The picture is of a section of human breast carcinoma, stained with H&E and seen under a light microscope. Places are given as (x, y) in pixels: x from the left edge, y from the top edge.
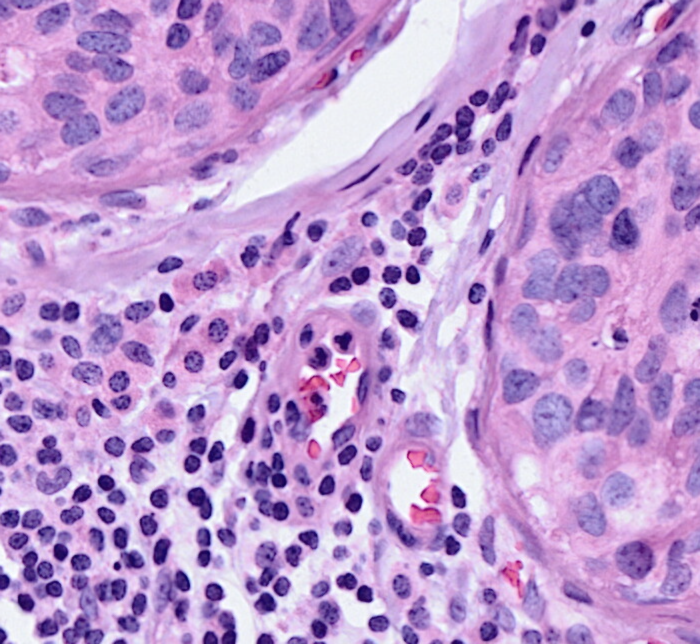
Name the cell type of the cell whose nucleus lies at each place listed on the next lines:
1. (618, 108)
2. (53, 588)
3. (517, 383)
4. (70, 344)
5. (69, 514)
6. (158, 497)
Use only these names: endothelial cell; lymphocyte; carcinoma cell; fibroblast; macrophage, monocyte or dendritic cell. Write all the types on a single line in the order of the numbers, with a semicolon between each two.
carcinoma cell; lymphocyte; carcinoma cell; lymphocyte; lymphocyte; lymphocyte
